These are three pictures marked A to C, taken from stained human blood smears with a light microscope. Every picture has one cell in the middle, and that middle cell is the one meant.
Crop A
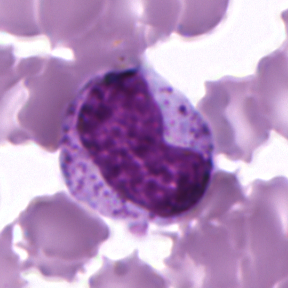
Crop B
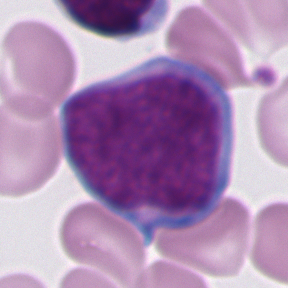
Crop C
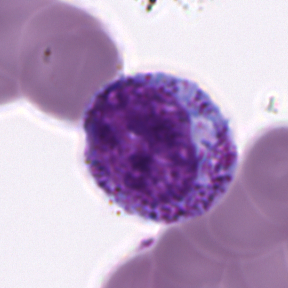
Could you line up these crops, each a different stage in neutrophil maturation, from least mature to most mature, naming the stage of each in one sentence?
Beginning with the least mature, the order is crop B (a blast), crop C (a promyelocyte) and crop A (a metamyelocyte).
